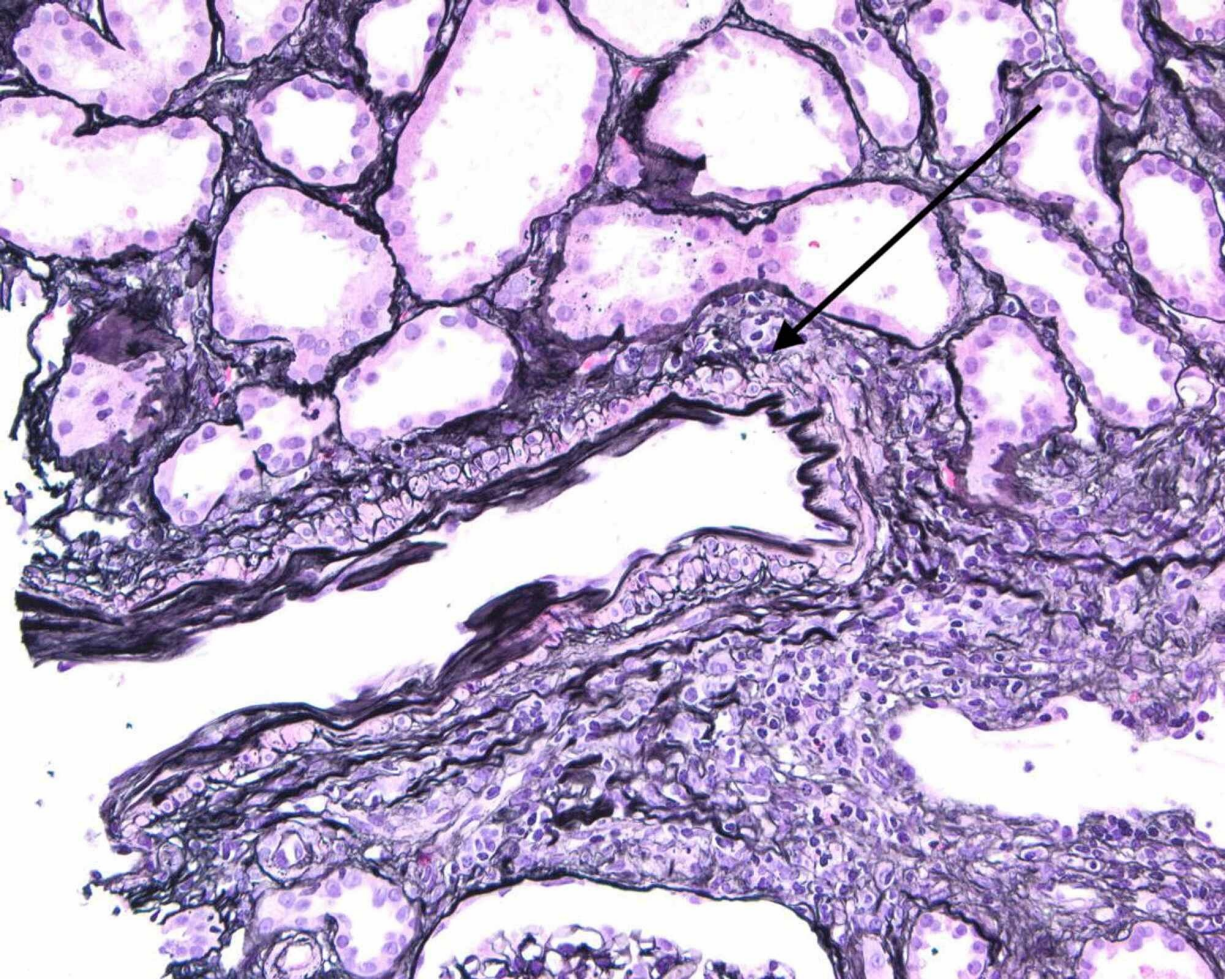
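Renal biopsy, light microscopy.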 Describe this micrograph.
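This is kidney cortex with rounded and elongated tubules, each outlined by dark black basement membranes, set in interstitium. The upper tubules have a single layer of cuboidal epithelial cells with round purple nuclei and pink cytoplasm around open lumens. The interstitium in the lower right is crowded with many small round dark nuclei, an inflammatory infiltrate that reaches up to the tubular walls.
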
